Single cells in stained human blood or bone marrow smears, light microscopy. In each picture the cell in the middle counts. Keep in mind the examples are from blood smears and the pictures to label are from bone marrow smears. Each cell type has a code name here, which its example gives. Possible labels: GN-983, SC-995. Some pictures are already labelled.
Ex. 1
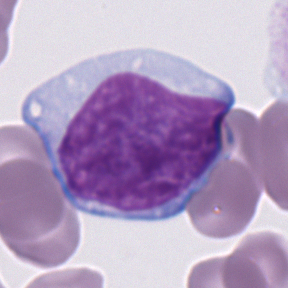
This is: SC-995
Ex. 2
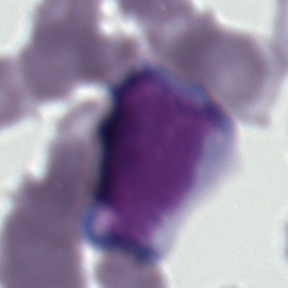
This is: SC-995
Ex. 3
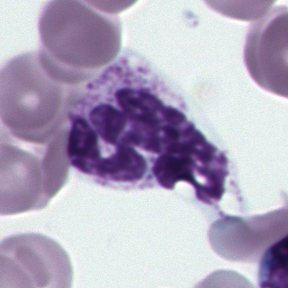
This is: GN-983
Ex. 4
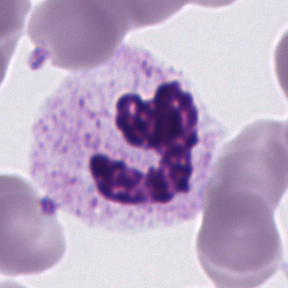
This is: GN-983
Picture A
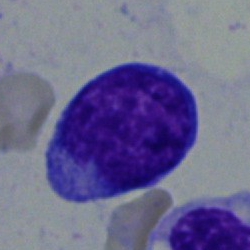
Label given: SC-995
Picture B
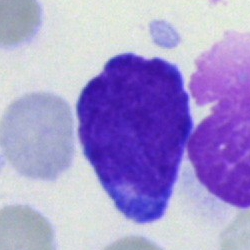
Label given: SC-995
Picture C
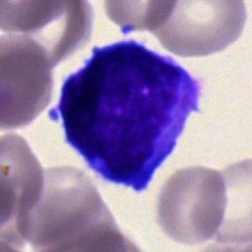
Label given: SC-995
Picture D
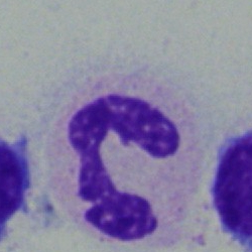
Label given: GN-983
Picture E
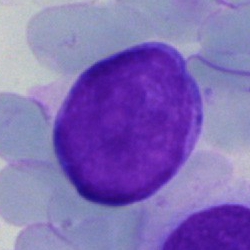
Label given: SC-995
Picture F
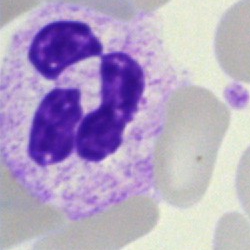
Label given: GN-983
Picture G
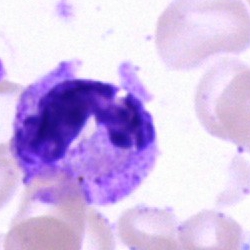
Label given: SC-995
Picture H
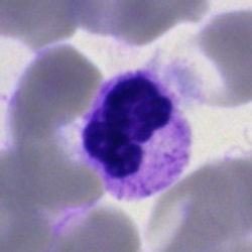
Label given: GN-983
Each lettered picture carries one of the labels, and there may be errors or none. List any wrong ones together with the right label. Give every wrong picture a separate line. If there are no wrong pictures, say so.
G: GN-983, not SC-995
